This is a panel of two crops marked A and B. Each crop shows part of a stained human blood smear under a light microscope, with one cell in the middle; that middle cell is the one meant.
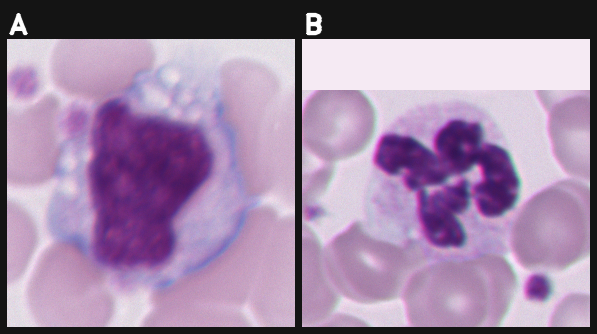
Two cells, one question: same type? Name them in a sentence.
No, crop A corresponds to a monocyte, while crop B corresponds to a segmented neutrophil.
